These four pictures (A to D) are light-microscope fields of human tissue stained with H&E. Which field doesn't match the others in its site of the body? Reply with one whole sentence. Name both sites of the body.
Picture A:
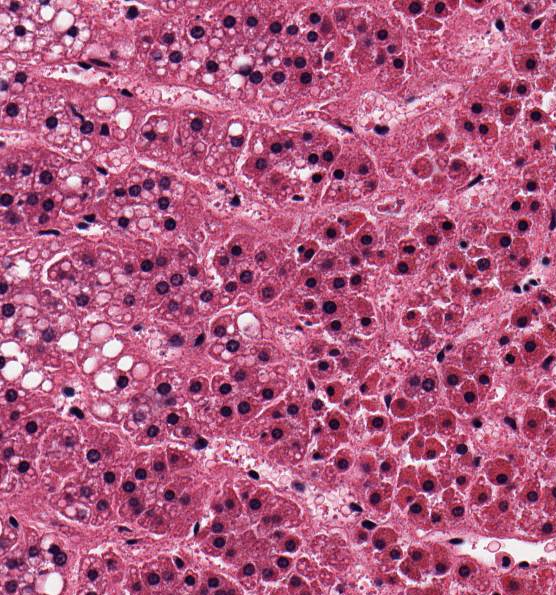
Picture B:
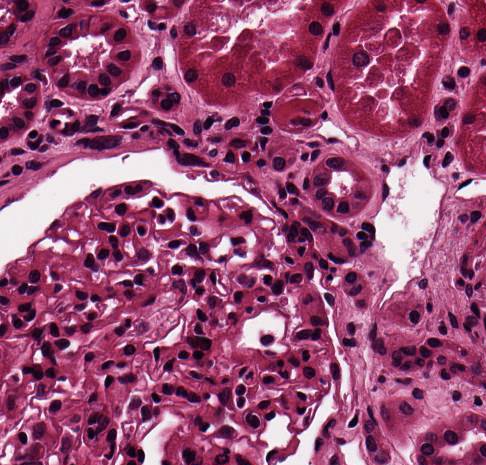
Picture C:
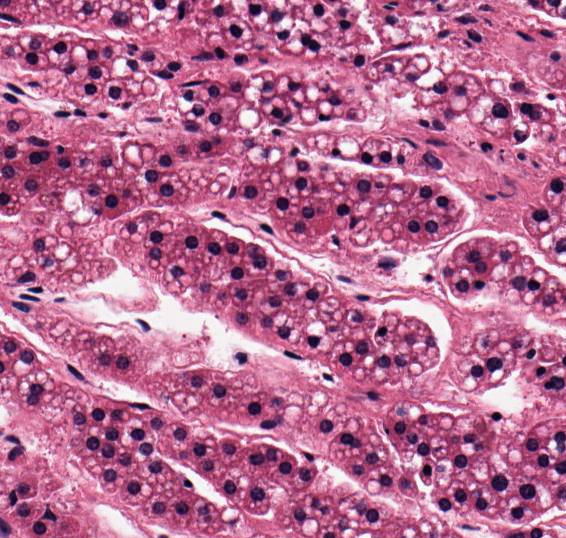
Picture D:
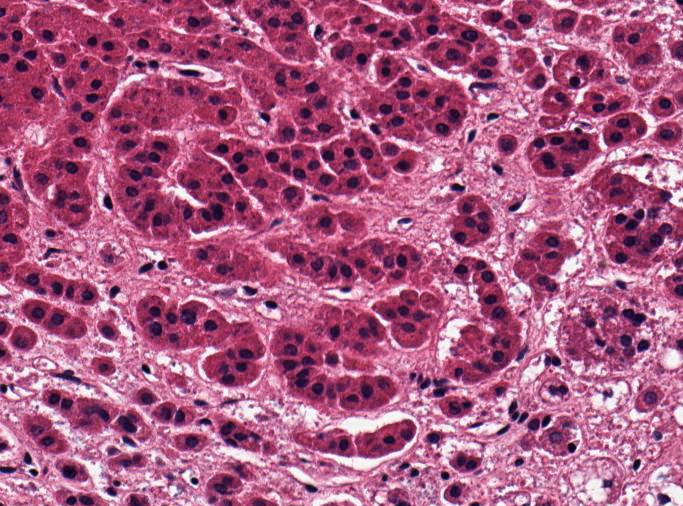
Picture B is the odd one out: it comes from the renal cortex, while the others come from the adrenal gland.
